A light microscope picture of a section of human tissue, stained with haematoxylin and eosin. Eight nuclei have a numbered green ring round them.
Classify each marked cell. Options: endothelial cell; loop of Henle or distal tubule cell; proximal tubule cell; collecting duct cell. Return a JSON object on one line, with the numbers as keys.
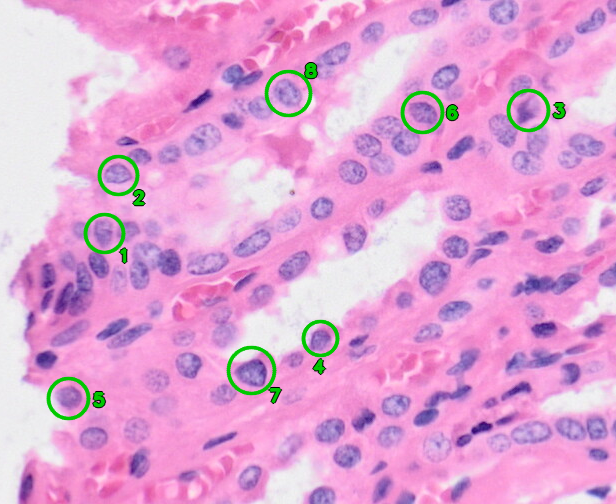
{"1": "collecting duct cell", "2": "collecting duct cell", "3": "collecting duct cell", "4": "loop of Henle or distal tubule cell", "5": "loop of Henle or distal tubule cell", "6": "collecting duct cell", "7": "loop of Henle or distal tubule cell", "8": "collecting duct cell"}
